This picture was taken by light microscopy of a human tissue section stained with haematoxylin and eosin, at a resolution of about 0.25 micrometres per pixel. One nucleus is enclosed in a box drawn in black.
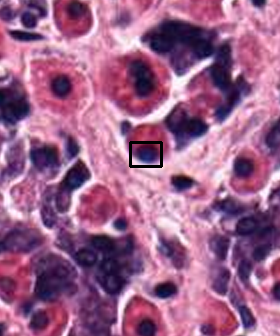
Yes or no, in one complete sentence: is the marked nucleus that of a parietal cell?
Yes, the nucleus that is marked belongs to a parietal cell.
